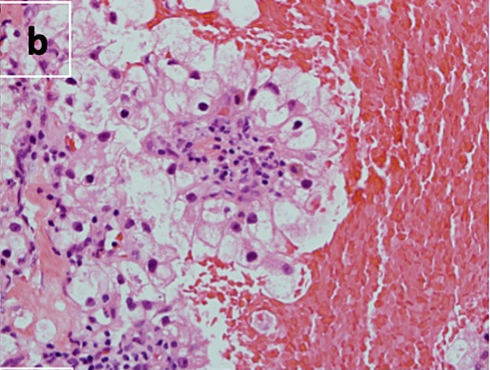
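Here we see tumor cells at high power, large polygonal cells with abundant cytoplasm that is mostly clear and bubbly, in places faintly pink and granular. Near the middle of the nest lies a cluster of small, dark, round nuclei of inflammatory cells with scant cytoplasm. To the right, the field is filled by a sheet of bright red blood cells, and at the lower left more small dark cells and large clear cells sit side by side.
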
